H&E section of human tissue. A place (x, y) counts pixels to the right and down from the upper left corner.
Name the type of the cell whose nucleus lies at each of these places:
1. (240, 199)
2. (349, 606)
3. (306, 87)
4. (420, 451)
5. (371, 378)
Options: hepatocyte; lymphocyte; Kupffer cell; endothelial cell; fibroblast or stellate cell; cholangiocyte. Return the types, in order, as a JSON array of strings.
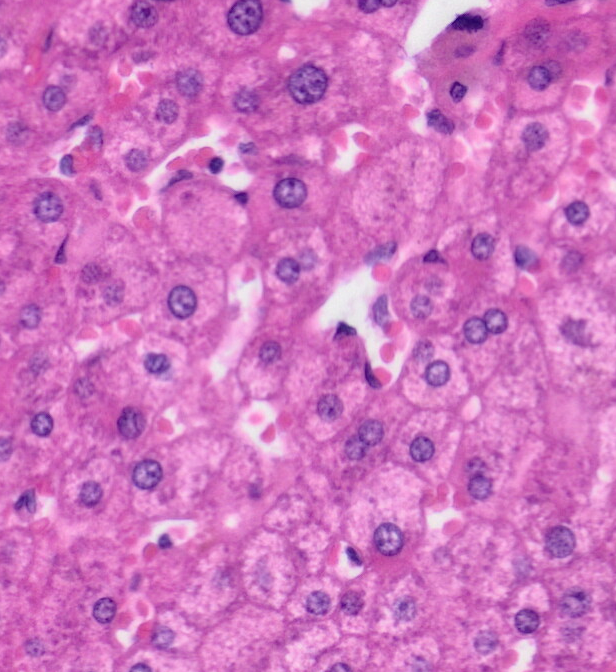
["fibroblast or stellate cell", "hepatocyte", "hepatocyte", "hepatocyte", "endothelial cell"]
